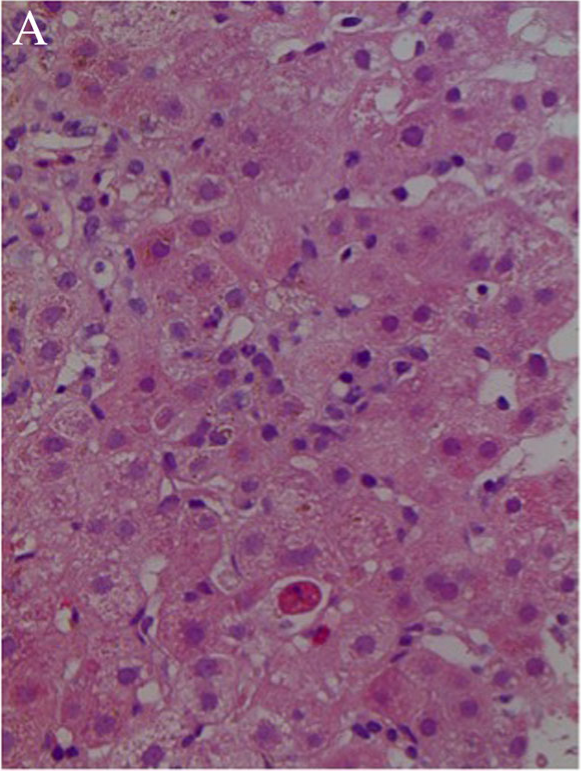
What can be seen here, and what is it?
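Liver parenchyma with plates of large polygonal hepatocytes that have abundant pink granular cytoplasm and round central nuclei, some with visible nucleoli. The hepatocytes vary somewhat in size and in nuclear size. Small dark elongated nuclei of sinusoidal lining cells lie along the narrow sinusoids between the plates. Near the lower middle, a single rounded, intensely pink, shrunken body lies within a clear halo, separated from the neighbouring hepatocytes, representing an acidophilic body of a dying hepatocyte. Some cytoplasm appears pale and finely vacuolated. No bile duct is visible in this field.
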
